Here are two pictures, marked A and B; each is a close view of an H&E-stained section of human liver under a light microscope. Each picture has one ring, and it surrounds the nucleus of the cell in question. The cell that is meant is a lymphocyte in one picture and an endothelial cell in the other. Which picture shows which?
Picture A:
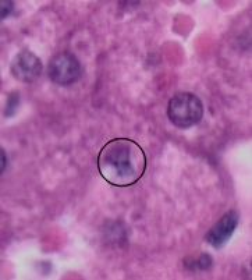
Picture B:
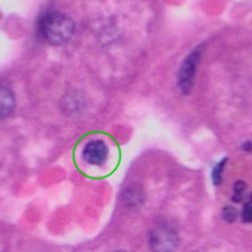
A: endothelial cell
B: lymphocyte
